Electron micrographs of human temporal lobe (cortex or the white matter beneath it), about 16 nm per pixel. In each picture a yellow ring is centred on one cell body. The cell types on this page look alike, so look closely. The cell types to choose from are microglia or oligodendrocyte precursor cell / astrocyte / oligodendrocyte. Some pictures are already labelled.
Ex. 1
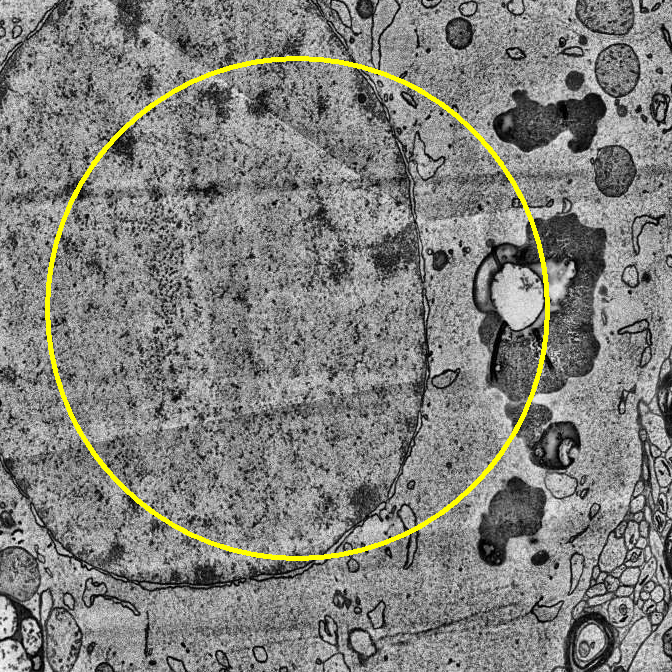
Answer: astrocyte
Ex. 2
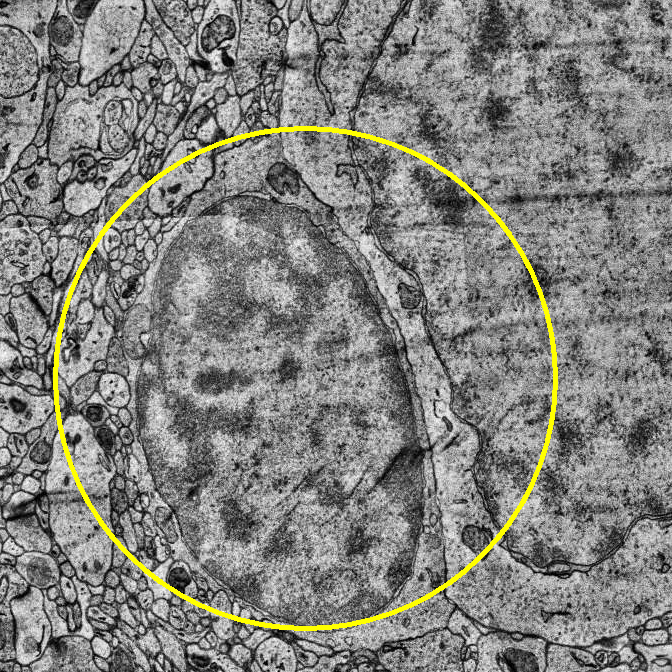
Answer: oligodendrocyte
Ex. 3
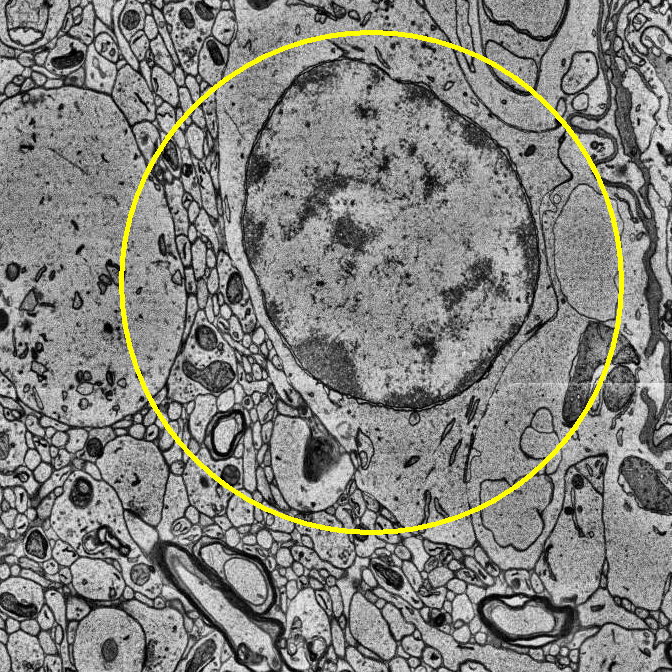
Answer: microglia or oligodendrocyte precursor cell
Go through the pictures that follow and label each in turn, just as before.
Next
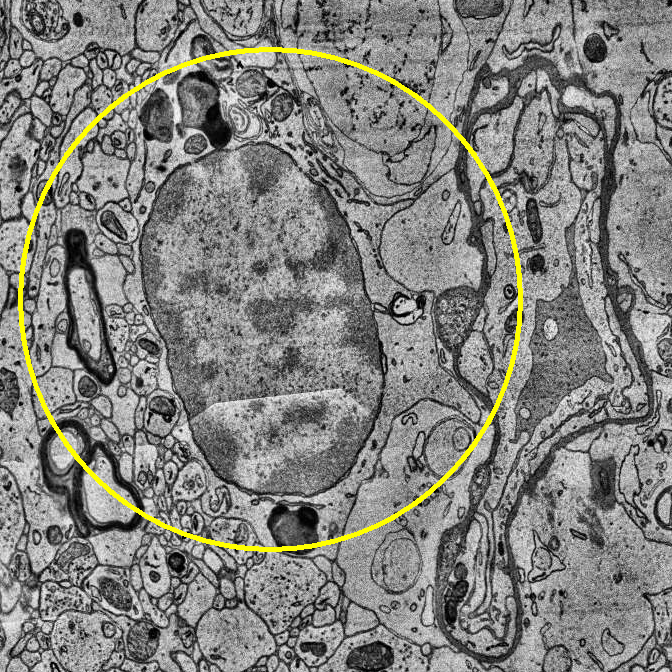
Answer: microglia or oligodendrocyte precursor cell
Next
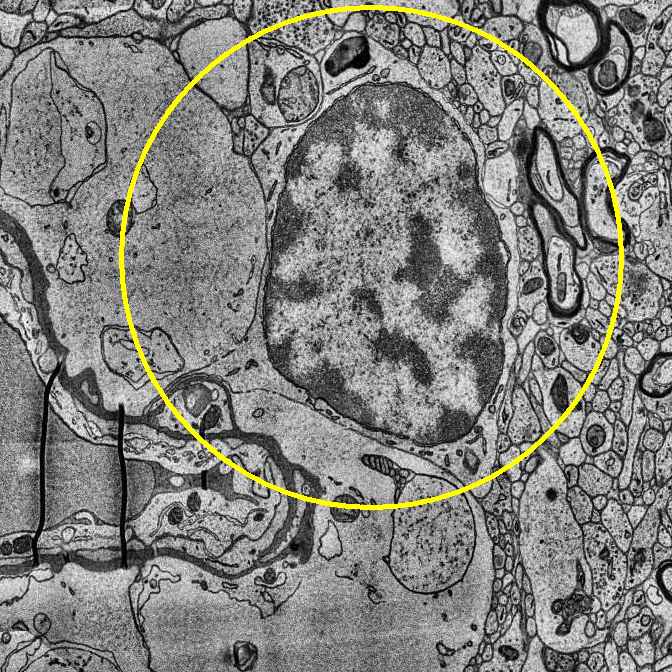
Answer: microglia or oligodendrocyte precursor cell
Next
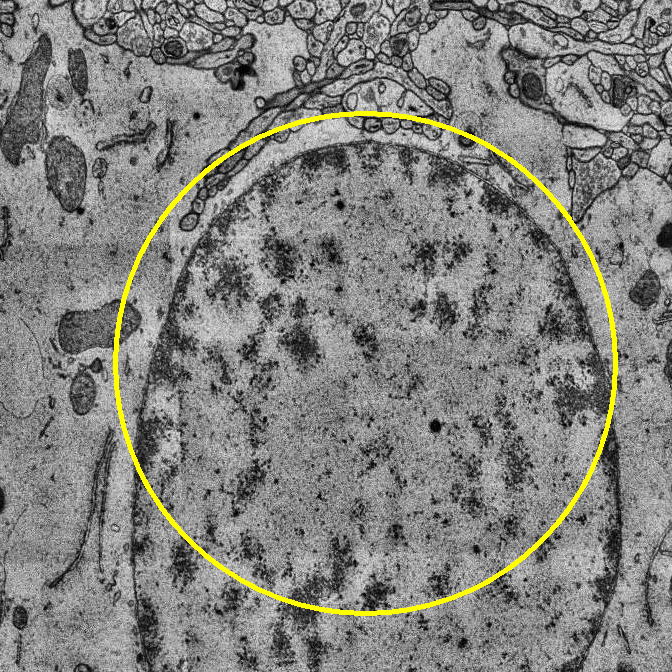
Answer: astrocyte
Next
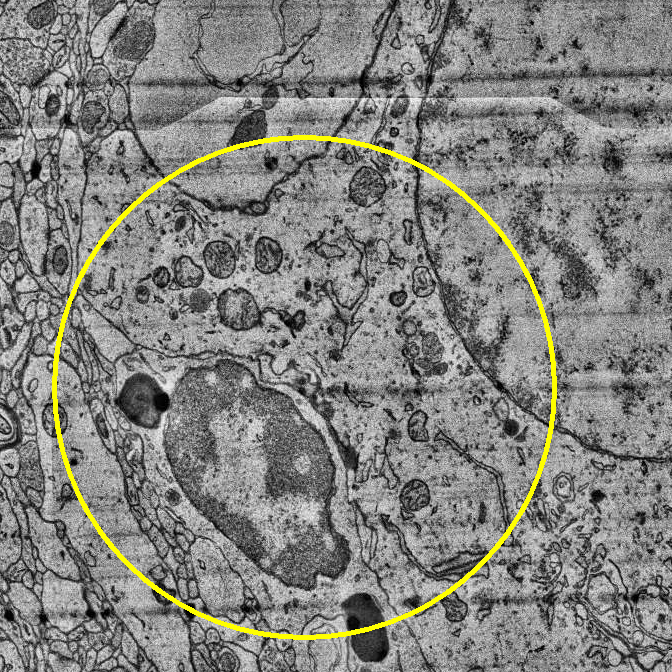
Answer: microglia or oligodendrocyte precursor cell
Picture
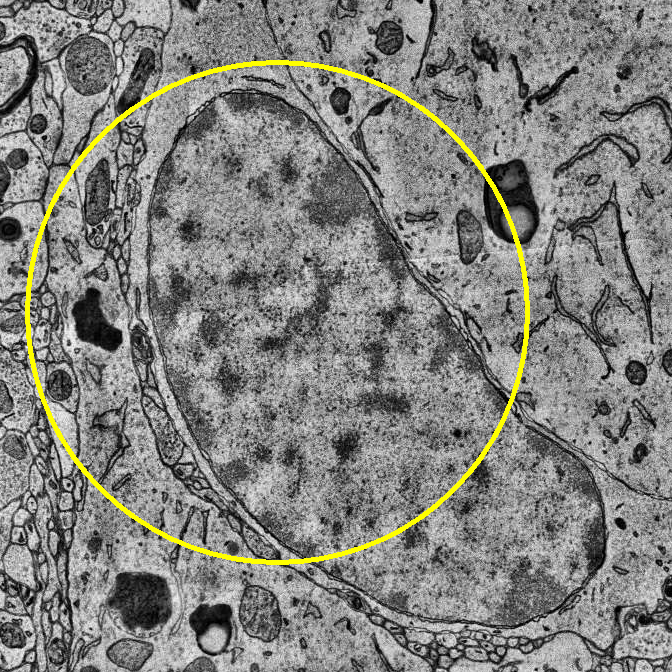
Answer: microglia or oligodendrocyte precursor cell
